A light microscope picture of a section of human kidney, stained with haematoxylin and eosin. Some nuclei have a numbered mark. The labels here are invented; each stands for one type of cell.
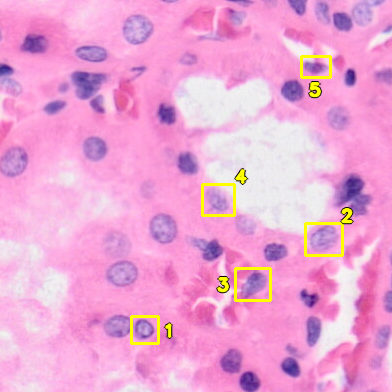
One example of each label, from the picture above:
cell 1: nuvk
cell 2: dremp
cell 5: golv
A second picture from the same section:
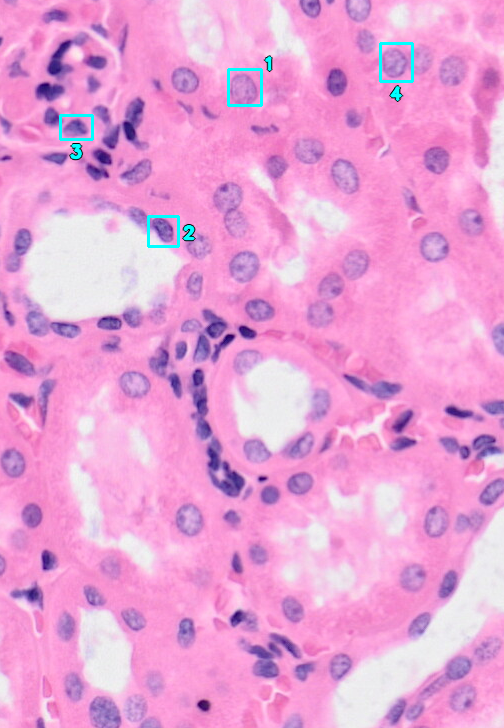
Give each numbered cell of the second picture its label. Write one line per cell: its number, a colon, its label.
1: nuvk
2: dremp
3: golv
4: nuvk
